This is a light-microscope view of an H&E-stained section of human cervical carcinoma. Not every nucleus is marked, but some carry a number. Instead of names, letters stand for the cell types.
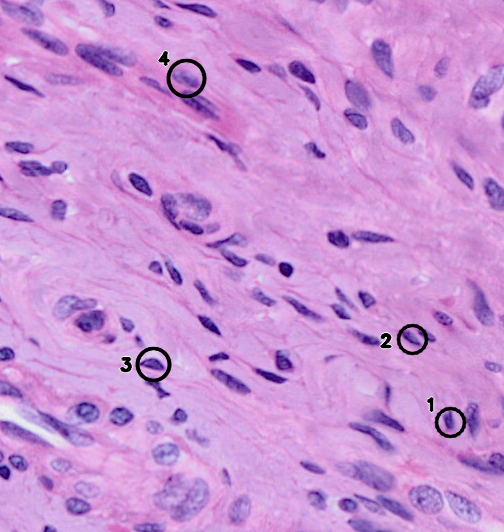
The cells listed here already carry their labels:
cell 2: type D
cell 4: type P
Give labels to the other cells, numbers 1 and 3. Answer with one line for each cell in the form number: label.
1: type D
3: type D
